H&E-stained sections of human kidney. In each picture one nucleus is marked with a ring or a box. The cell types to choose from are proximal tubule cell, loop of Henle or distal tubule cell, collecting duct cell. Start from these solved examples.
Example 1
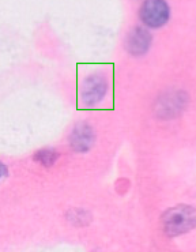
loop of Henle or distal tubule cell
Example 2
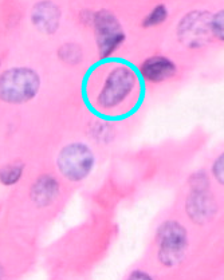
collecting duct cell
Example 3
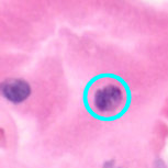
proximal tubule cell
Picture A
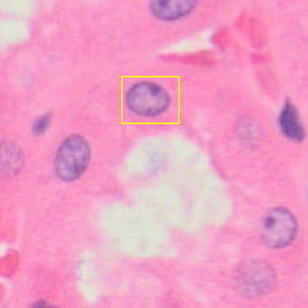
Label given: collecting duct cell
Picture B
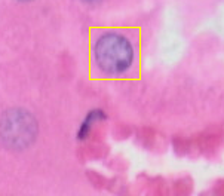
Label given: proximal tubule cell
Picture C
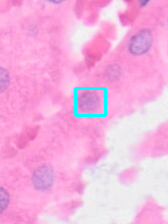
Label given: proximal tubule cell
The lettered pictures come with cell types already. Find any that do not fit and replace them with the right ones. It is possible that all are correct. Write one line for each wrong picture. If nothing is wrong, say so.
A: proximal tubule cell, not collecting duct cell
